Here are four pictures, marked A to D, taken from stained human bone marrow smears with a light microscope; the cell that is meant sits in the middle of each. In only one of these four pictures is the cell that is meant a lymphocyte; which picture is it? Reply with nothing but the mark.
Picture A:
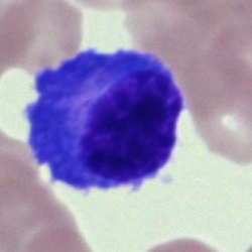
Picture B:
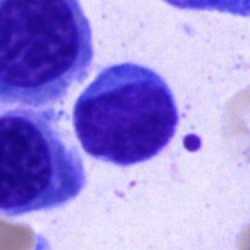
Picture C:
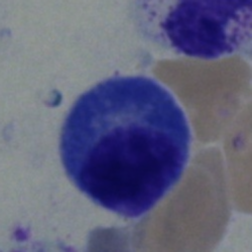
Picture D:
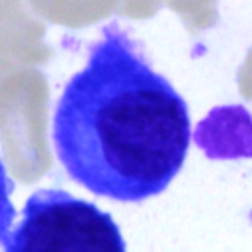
B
